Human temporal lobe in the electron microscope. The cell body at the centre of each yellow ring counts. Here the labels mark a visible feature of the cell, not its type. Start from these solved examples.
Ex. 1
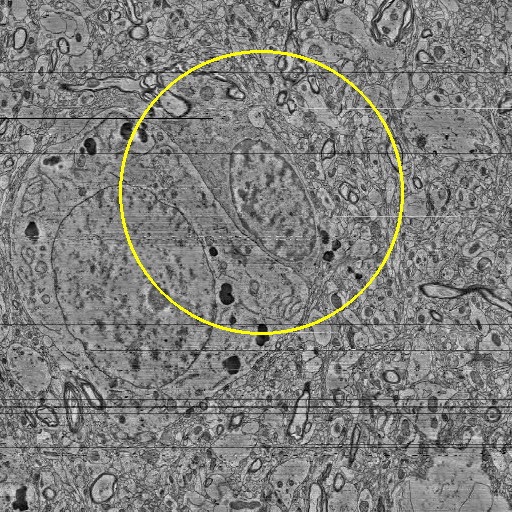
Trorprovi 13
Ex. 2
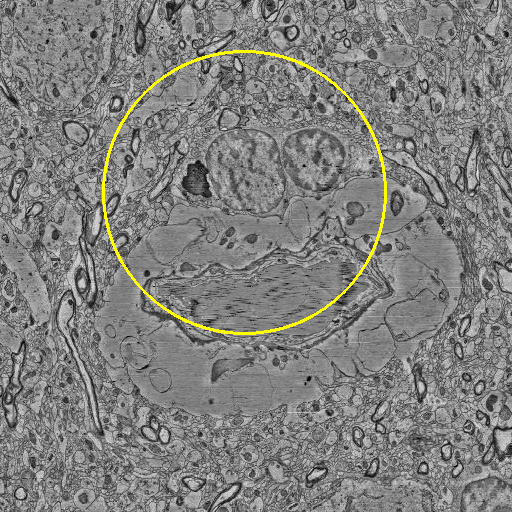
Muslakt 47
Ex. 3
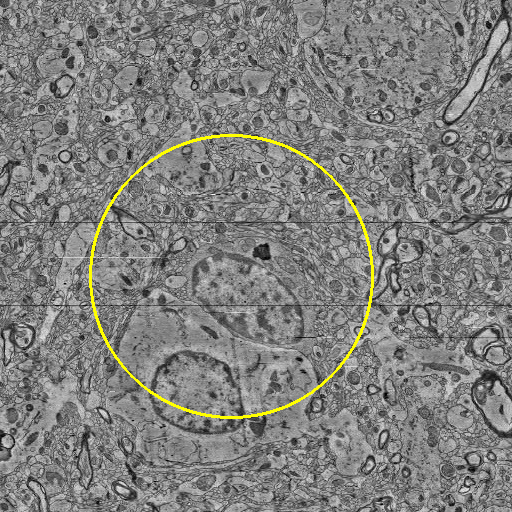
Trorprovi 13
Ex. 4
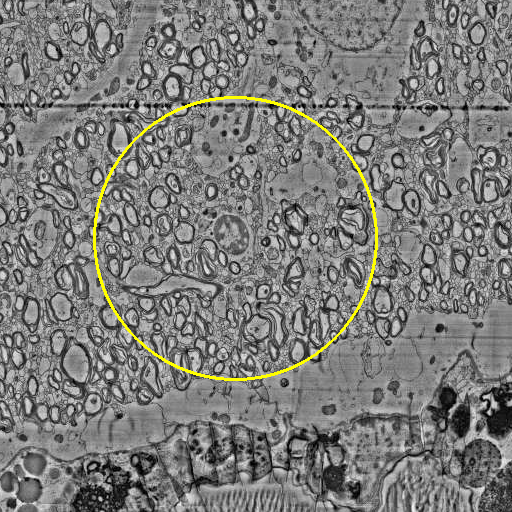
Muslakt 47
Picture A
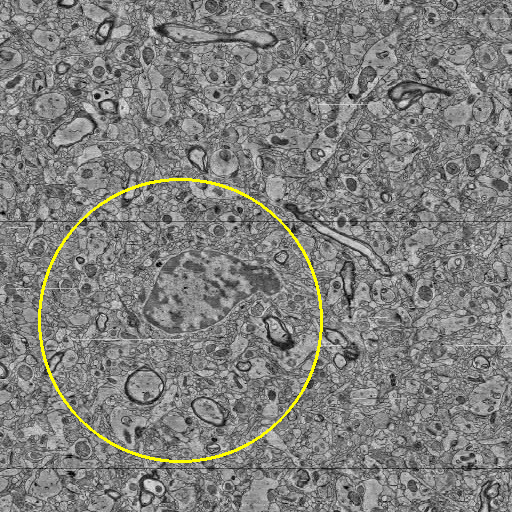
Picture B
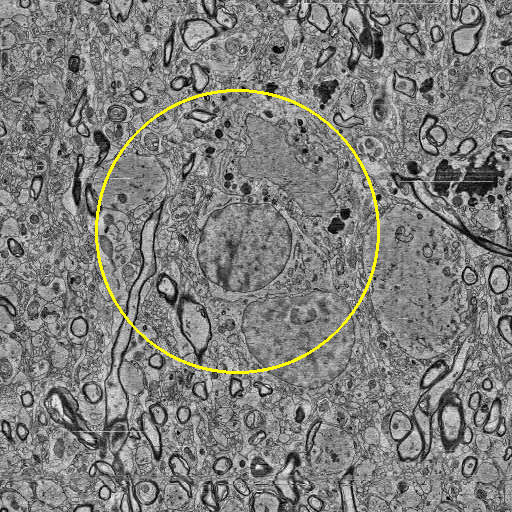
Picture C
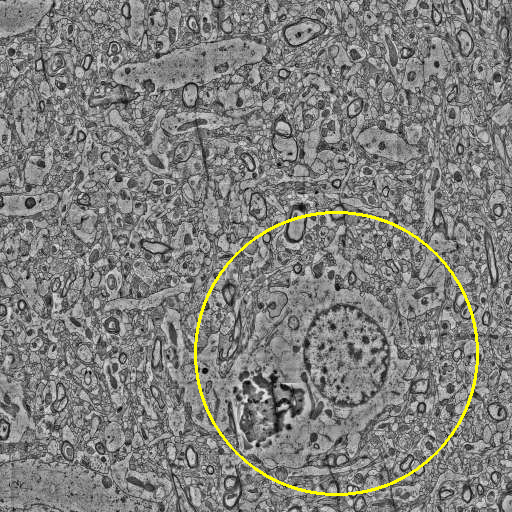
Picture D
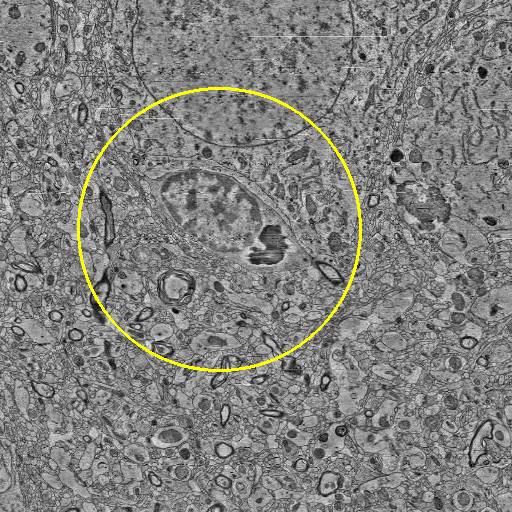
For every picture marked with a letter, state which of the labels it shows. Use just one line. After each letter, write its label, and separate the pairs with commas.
A Trorprovi 13, B Muslakt 47, C Muslakt 47, D Trorprovi 13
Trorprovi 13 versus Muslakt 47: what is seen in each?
Seen in Trorprovi 13: clearly elongated nuclei; seen in Muslakt 47: round or nearly round nuclei.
